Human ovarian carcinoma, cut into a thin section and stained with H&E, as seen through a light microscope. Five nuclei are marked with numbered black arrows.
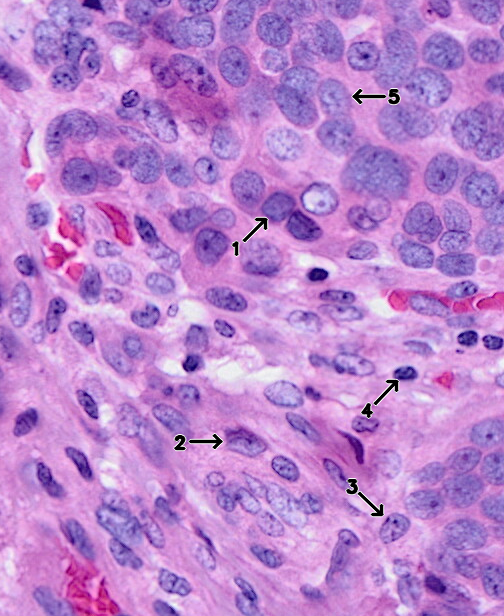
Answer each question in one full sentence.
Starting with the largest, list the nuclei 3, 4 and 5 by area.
From largest to smallest, the order is 5, 3, 4.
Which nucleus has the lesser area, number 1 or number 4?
With nucleus 1 about 2 times its size, nucleus 4 is the smaller of the two.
